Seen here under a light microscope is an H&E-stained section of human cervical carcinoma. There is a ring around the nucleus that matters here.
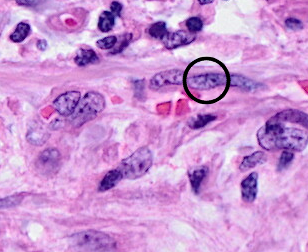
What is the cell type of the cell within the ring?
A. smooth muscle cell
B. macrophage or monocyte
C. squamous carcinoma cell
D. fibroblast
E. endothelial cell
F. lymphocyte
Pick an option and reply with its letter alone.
E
